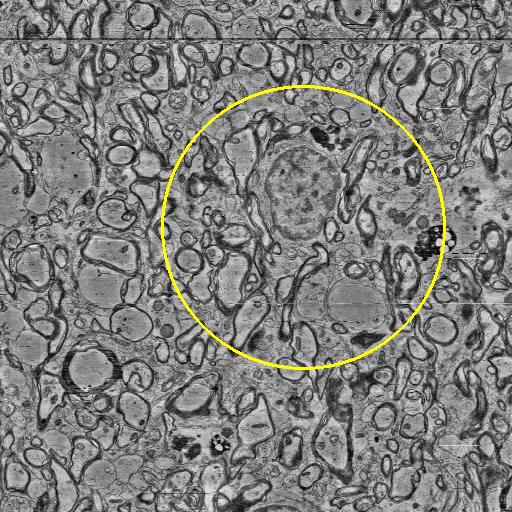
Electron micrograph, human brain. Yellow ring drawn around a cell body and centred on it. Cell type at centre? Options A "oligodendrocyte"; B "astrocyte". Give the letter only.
A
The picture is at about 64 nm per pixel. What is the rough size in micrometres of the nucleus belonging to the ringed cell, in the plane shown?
About 6 micrometres by about 5 micrometres in this plane.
